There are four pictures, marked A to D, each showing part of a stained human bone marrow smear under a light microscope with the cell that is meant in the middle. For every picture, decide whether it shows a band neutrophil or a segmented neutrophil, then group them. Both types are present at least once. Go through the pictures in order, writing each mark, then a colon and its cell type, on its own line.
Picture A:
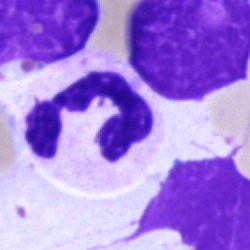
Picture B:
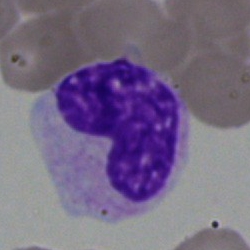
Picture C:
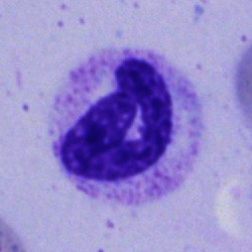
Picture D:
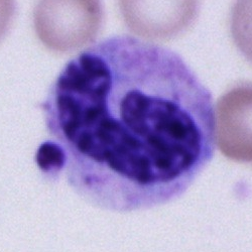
A: segmented neutrophil
B: band neutrophil
C: segmented neutrophil
D: band neutrophil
